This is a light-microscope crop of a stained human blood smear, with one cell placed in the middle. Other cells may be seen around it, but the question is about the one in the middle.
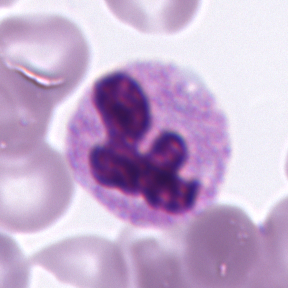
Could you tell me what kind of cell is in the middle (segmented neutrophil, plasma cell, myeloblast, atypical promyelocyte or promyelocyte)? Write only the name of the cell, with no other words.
segmented neutrophil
